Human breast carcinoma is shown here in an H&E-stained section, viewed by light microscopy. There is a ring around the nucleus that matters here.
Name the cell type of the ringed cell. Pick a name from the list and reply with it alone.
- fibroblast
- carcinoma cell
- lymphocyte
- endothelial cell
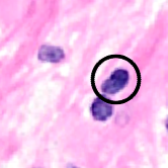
lymphocyte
